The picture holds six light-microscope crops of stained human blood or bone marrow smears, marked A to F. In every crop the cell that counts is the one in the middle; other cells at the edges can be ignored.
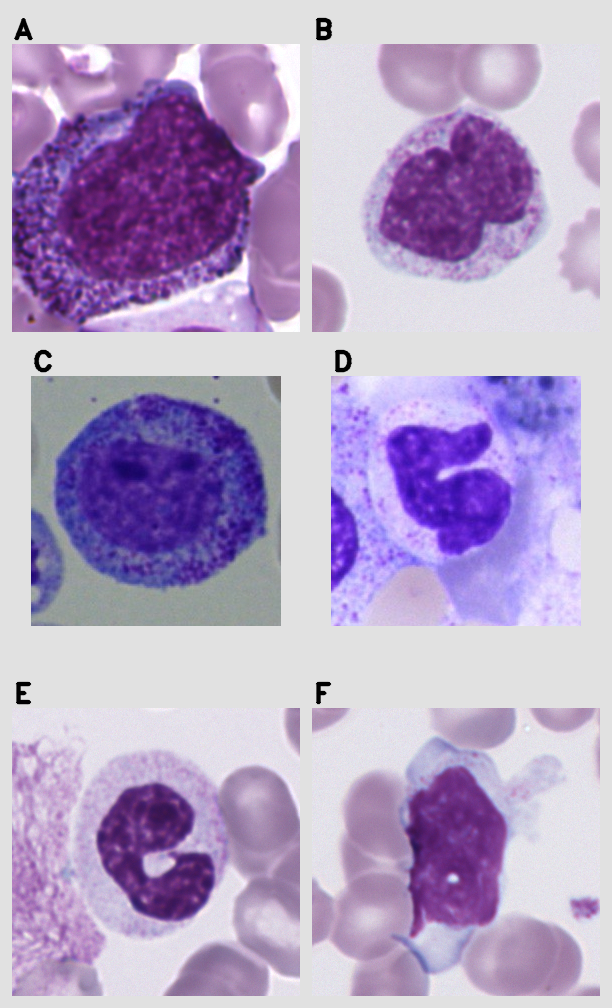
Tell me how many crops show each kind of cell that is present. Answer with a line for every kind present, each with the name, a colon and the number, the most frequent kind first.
band neutrophil: 3
promyelocyte: 2
lymphocyte: 1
